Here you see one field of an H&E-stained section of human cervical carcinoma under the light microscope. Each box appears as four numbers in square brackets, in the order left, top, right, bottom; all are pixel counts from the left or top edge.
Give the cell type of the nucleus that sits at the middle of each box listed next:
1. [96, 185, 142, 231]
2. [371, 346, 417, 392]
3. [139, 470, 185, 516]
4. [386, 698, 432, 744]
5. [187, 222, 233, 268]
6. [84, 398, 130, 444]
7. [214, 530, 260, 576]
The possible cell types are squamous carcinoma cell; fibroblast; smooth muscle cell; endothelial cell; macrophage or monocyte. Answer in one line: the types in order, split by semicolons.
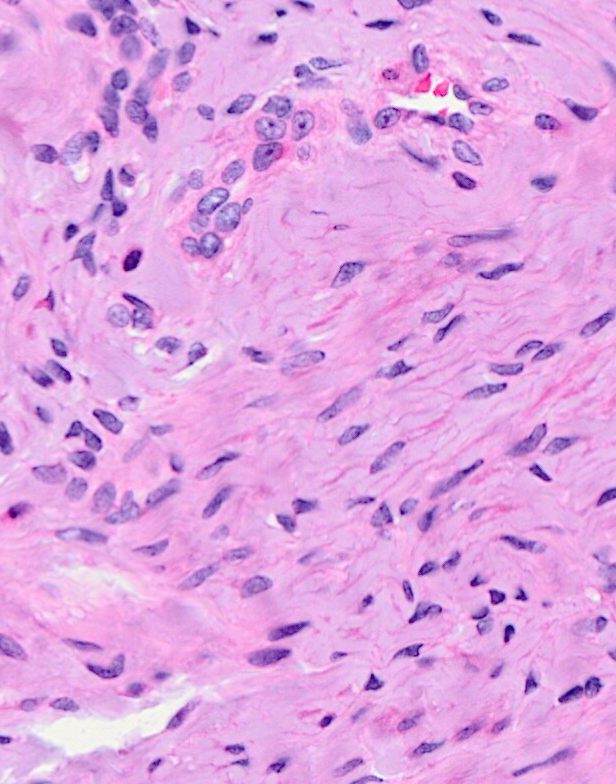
fibroblast; fibroblast; fibroblast; smooth muscle cell; endothelial cell; fibroblast; smooth muscle cell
